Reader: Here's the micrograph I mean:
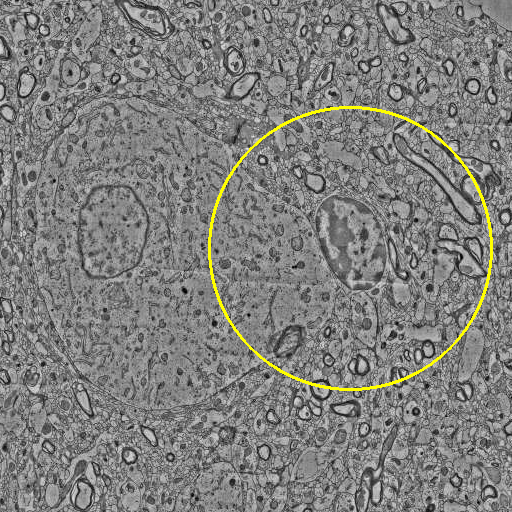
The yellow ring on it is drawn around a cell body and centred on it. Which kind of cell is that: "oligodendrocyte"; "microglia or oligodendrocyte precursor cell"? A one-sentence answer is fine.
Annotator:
The ring is centred on a microglial cell or oligodendrocyte precursor cell.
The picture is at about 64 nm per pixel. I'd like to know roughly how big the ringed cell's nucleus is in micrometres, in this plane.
In this plane, about 6 by 4 micrometres: the nucleus is clearly longer than it is wide.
